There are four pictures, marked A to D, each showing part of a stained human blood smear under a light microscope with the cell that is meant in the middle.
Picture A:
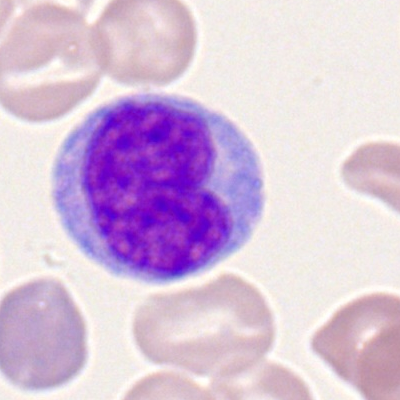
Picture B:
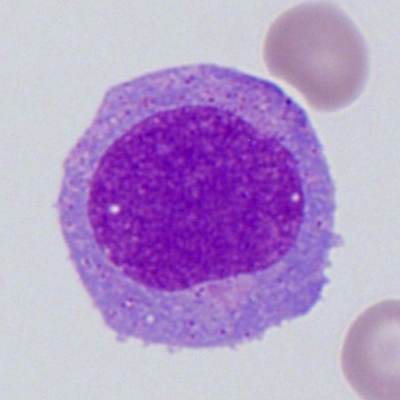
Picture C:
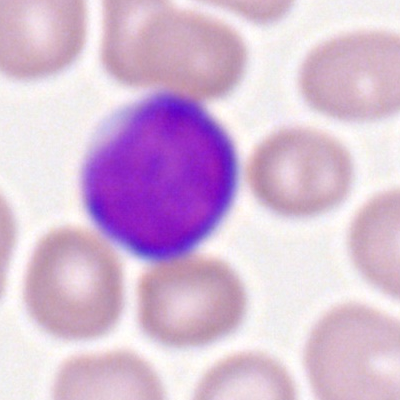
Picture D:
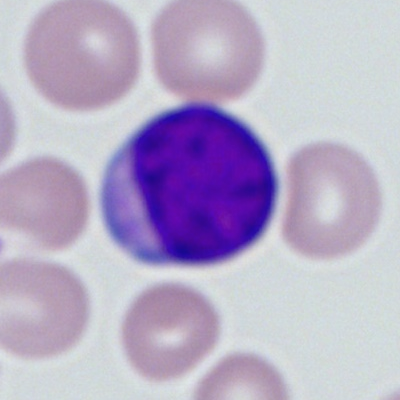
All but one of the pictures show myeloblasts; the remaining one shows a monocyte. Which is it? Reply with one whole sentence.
The monocyte is the one in picture A.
